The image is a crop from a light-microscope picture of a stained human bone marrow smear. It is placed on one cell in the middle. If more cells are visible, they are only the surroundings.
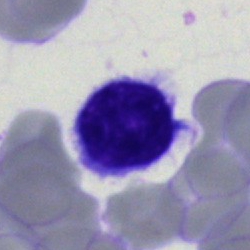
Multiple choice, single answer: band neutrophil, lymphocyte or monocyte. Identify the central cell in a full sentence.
What the crop centres on is a lymphocyte.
